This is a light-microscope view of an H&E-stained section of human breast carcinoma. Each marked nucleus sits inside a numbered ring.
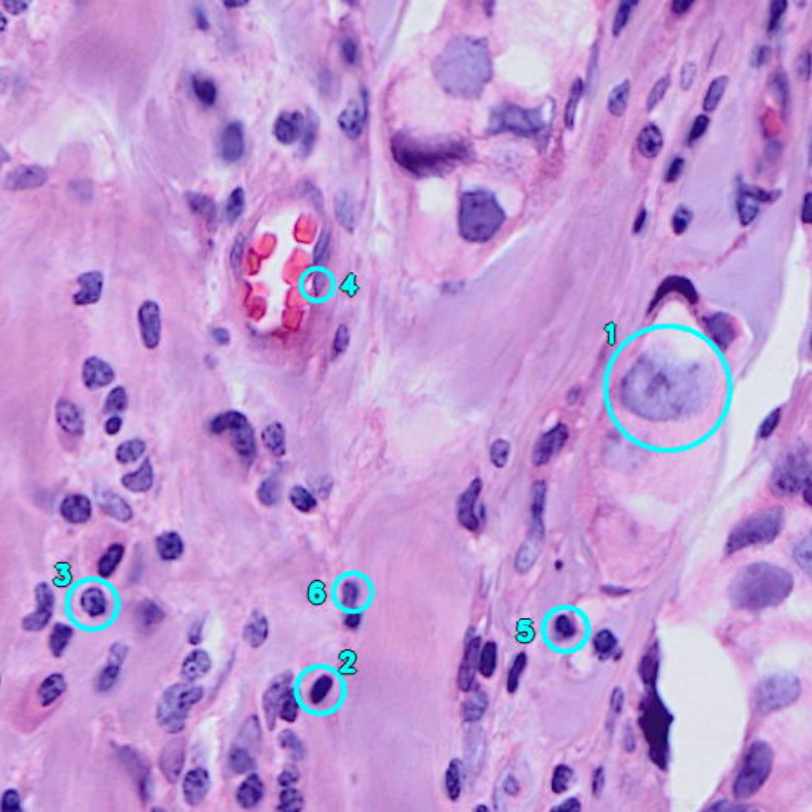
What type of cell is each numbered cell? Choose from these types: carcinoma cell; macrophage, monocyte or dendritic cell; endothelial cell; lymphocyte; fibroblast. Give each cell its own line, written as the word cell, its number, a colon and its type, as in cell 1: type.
cell 1: carcinoma cell
cell 2: lymphocyte
cell 3: lymphocyte
cell 4: endothelial cell
cell 5: lymphocyte
cell 6: lymphocyte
